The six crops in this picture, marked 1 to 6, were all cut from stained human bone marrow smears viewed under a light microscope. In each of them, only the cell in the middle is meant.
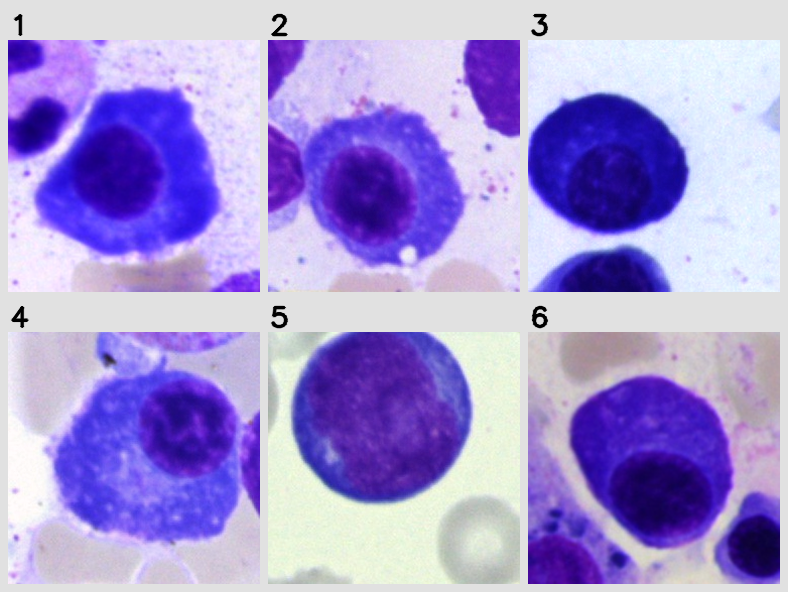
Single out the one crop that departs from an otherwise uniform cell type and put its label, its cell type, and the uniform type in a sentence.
Crop 5 is the exception here: it is a proerythroblast, and the others are plasma cells.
